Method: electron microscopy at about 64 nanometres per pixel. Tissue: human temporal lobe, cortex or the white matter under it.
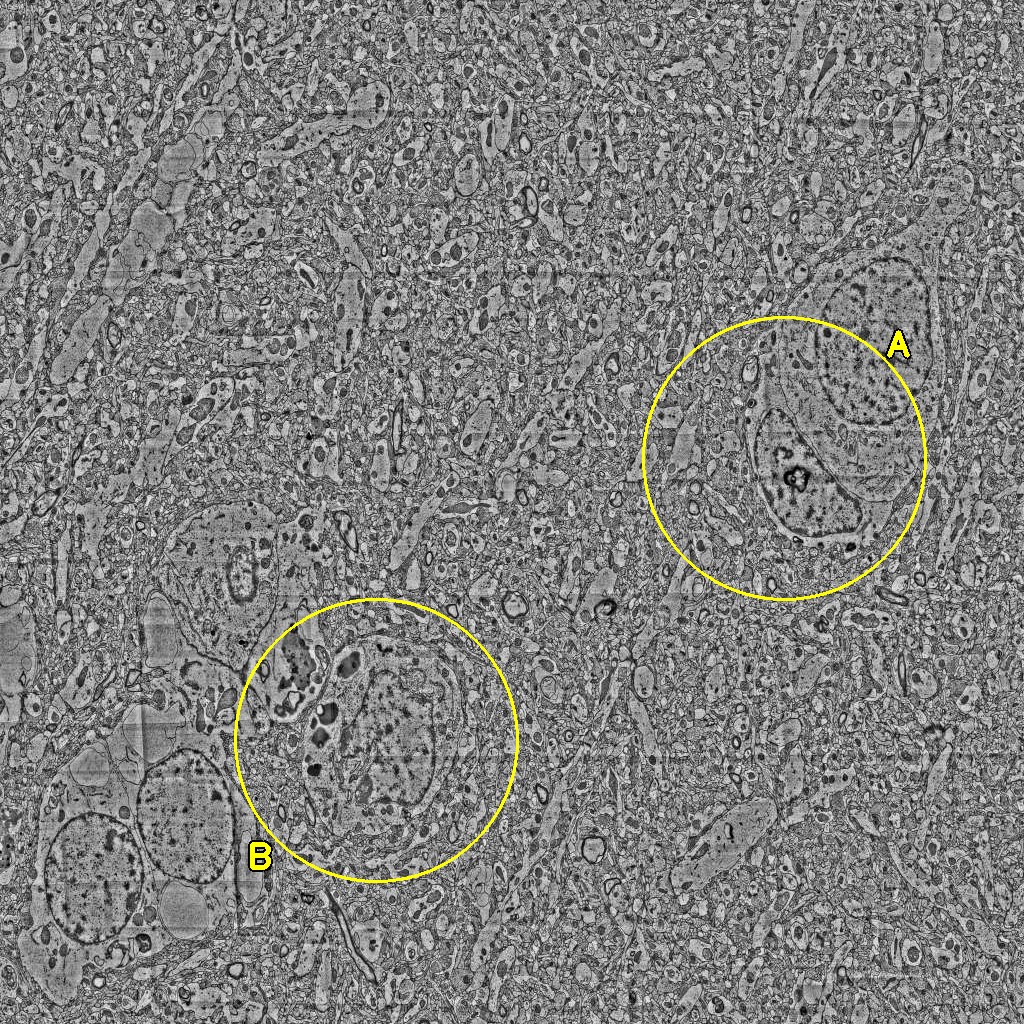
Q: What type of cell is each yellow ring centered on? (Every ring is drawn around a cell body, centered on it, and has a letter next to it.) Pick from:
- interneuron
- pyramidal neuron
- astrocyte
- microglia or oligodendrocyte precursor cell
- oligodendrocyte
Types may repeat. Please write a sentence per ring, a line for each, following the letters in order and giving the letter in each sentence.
The cell body centered in ring A belongs to a microglial cell or oligodendrocyte precursor cell.
The cell body centered in ring B belongs to an interneuron.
